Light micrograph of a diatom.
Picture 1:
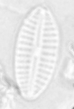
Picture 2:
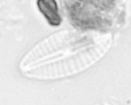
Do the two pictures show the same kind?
Yes, both are Craticula.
